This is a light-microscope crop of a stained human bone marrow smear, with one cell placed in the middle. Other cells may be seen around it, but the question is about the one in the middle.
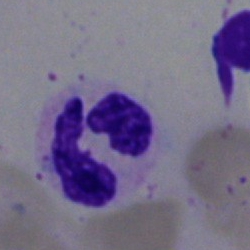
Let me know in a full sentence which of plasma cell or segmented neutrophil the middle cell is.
The cell at the central position in this crop is a segmented neutrophil.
